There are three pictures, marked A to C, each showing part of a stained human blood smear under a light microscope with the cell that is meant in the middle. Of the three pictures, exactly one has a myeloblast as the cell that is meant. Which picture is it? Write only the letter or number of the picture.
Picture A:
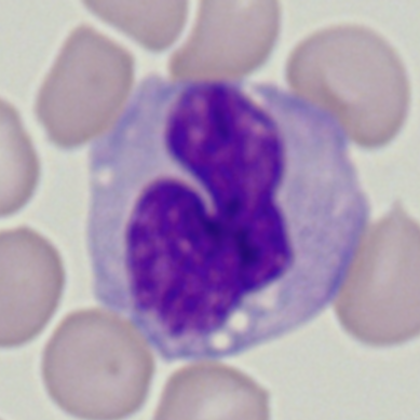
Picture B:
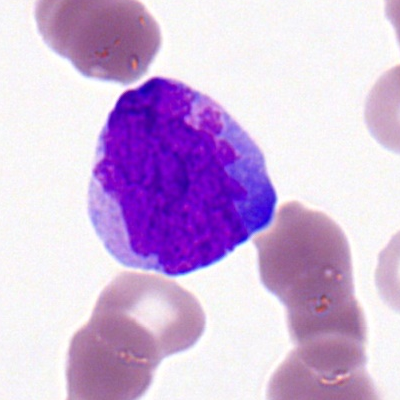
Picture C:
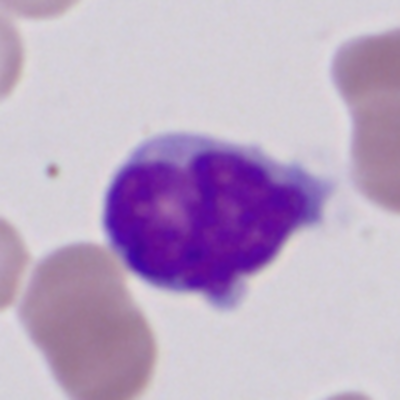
B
